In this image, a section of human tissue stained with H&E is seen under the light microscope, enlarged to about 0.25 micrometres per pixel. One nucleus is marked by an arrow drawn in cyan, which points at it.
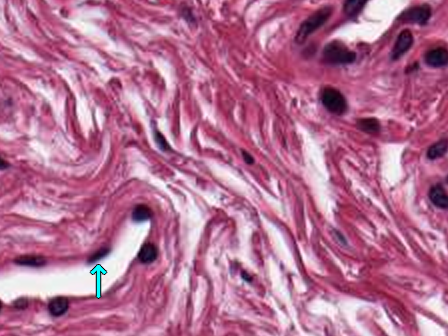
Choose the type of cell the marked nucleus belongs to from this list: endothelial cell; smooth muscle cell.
endothelial cell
